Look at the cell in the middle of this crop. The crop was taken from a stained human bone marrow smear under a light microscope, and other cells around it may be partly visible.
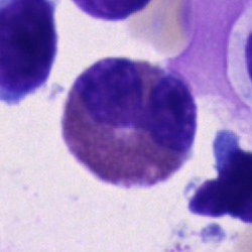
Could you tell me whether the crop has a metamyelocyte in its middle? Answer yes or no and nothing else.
no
